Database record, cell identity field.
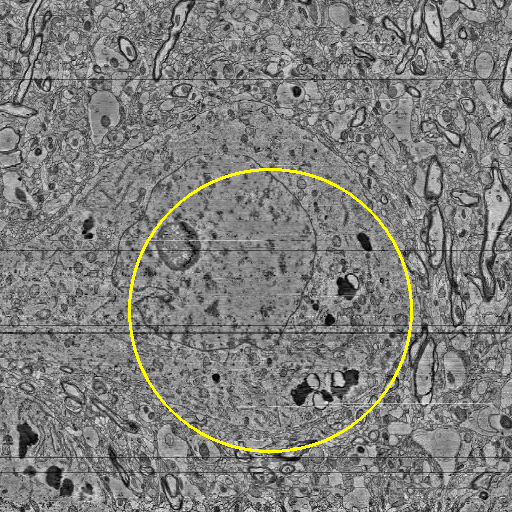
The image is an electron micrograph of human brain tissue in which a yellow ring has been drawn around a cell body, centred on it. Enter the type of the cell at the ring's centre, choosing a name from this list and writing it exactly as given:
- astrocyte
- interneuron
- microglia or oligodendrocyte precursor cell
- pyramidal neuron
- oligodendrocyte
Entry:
pyramidal neuron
